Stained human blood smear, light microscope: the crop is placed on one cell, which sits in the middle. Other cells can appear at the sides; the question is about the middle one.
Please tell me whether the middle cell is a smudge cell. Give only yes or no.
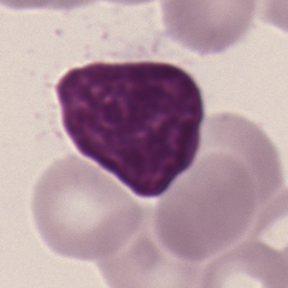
yes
